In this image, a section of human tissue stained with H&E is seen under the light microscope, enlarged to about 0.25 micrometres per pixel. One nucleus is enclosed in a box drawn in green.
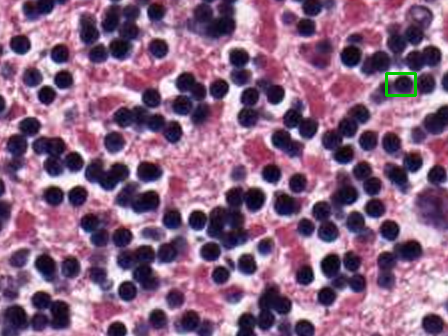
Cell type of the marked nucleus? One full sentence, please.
Within the picture, the marked nucleus belongs to a cerebellar granule cell.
